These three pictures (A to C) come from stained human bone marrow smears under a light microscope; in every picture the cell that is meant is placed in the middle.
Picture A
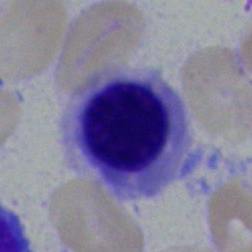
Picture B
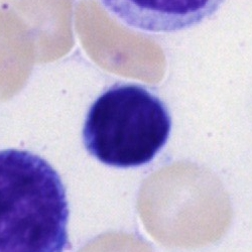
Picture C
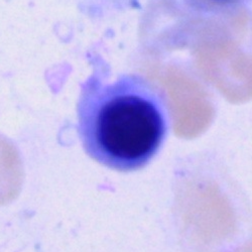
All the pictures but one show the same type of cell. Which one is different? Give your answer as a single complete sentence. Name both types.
The others show erythroblasts, but picture B shows a lymphocyte.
